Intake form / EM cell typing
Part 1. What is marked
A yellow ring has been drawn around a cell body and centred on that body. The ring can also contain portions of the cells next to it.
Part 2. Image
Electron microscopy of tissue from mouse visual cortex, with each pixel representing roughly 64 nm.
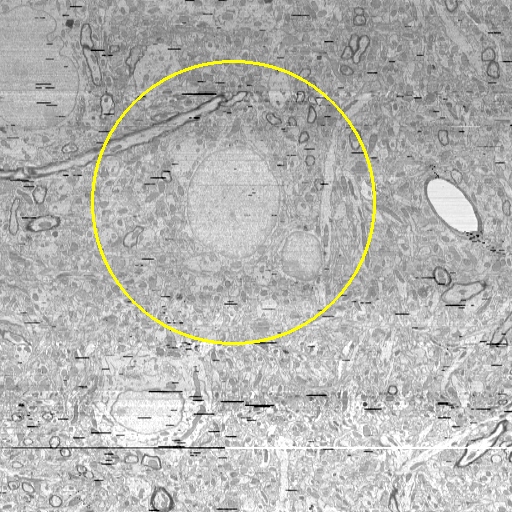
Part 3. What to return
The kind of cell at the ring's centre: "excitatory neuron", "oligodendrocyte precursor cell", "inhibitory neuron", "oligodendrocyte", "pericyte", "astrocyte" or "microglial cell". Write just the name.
astrocyte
